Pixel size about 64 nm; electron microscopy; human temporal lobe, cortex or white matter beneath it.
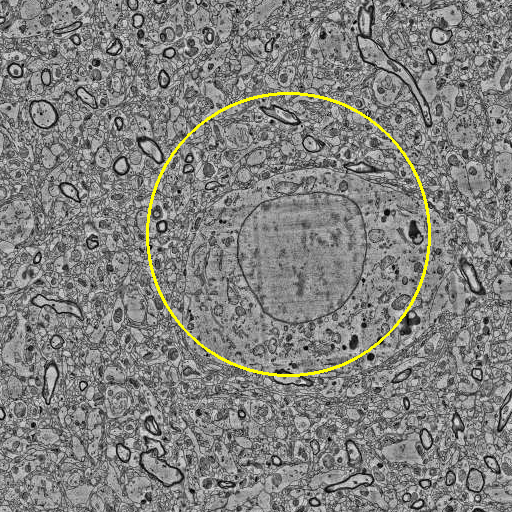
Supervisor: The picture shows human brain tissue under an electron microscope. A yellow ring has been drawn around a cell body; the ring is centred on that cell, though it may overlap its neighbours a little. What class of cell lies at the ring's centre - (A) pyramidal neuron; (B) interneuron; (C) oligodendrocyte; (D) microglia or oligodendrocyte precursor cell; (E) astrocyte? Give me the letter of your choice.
A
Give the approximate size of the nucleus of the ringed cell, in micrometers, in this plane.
The nucleus appears about 9 micrometres across in this plane.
